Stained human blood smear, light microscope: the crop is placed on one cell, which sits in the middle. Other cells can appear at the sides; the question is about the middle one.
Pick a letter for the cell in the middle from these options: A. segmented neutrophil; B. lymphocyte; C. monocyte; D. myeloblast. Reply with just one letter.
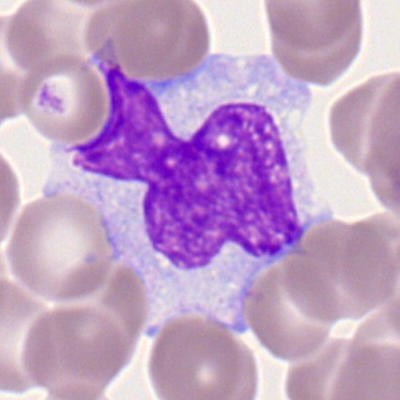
C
